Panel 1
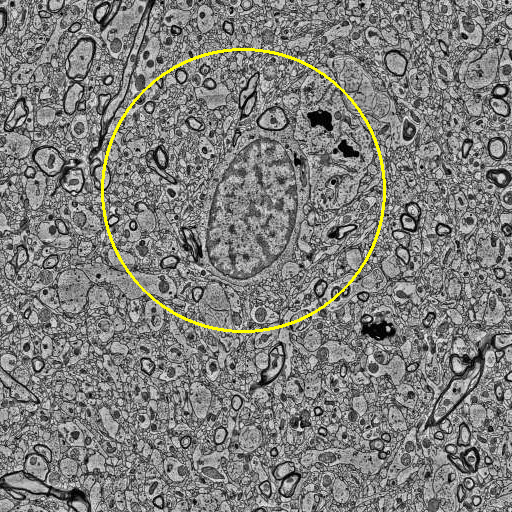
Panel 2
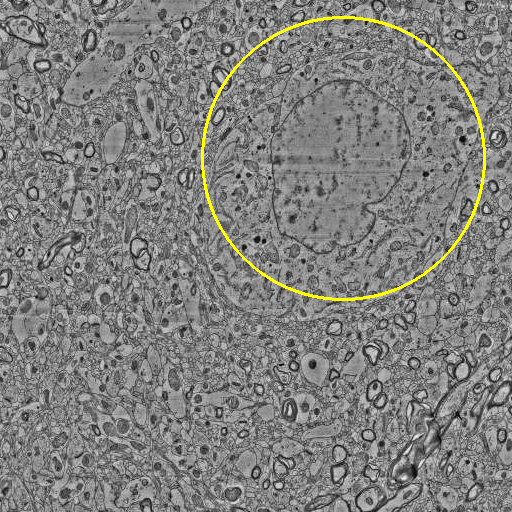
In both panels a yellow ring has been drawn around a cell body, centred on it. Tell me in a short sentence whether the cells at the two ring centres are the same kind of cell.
No, they are two kinds of cell.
